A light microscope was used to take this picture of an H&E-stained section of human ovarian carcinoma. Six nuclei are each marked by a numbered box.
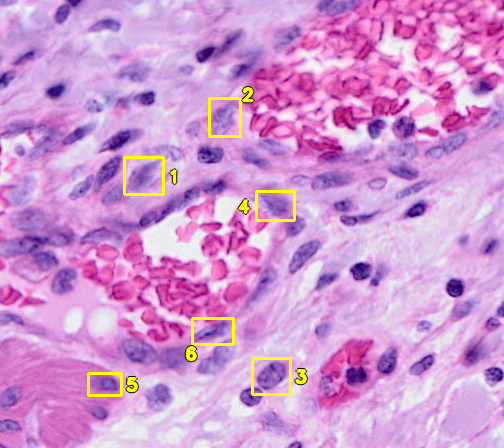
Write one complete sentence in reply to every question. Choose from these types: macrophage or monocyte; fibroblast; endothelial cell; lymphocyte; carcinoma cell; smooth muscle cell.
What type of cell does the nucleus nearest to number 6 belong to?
It is a fibroblast whose nucleus is nearest to number 6.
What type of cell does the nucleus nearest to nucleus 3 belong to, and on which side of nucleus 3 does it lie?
A lymphocyte lies closest, below and to the left of nucleus 3.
